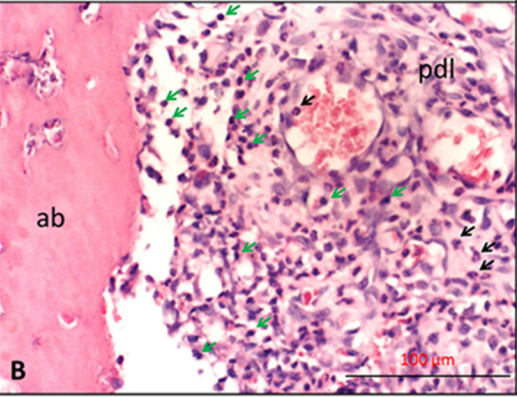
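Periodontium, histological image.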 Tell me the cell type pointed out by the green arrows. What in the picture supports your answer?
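Lymphocyte. The arrows point to small round cells with dark, round nuclei and scant cytoplasm. These cells are scattered densely through the ligament.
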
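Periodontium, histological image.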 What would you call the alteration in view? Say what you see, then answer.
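Wide round vessel lumina packed with red blood cells lie in the ligament. So: dilated blood vessels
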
